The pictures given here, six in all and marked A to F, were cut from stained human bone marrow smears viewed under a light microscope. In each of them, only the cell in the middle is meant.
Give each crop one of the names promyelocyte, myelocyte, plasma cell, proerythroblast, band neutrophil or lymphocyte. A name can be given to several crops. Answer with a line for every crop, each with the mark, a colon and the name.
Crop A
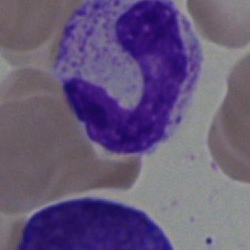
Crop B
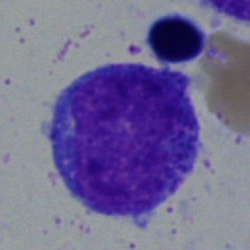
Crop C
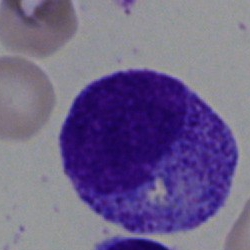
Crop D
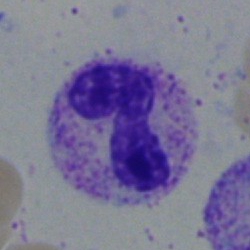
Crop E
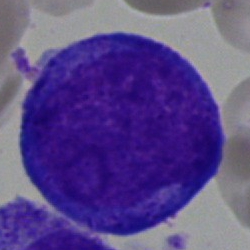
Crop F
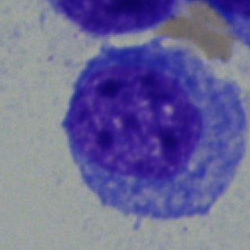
A: band neutrophil
B: promyelocyte
C: promyelocyte
D: band neutrophil
E: proerythroblast
F: promyelocyte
